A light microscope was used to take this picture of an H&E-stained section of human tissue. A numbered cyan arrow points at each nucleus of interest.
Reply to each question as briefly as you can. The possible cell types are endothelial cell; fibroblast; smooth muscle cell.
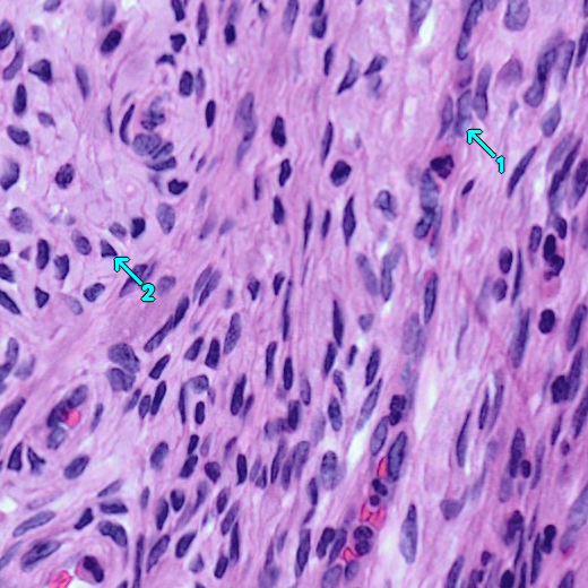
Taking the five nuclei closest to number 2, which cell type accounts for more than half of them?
fibroblast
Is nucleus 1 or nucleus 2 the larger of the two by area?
1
